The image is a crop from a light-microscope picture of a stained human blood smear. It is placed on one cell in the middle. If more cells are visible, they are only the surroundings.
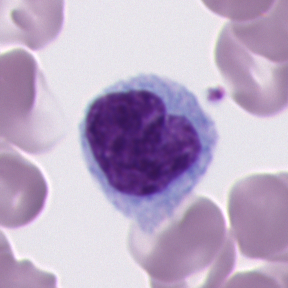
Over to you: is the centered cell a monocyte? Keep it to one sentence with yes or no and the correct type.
Yes, the cell centred in the field of view is a monocyte.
